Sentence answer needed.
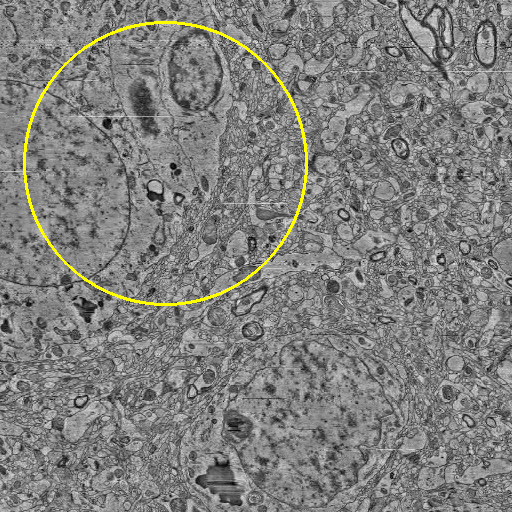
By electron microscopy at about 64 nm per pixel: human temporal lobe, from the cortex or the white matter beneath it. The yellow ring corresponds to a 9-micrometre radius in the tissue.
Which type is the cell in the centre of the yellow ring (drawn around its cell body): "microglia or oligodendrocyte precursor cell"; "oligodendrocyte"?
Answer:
In the centre of the yellow ring is a microglial cell or oligodendrocyte precursor cell.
